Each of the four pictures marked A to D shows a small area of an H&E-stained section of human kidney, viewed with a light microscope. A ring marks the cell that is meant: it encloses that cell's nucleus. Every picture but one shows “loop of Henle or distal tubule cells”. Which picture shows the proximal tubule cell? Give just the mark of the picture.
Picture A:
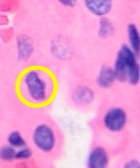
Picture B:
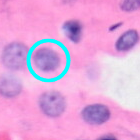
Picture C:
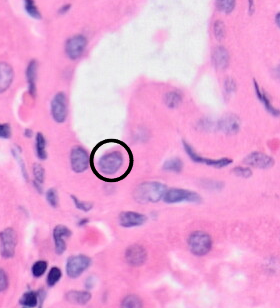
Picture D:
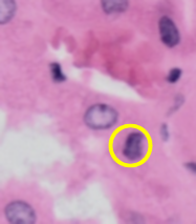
D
